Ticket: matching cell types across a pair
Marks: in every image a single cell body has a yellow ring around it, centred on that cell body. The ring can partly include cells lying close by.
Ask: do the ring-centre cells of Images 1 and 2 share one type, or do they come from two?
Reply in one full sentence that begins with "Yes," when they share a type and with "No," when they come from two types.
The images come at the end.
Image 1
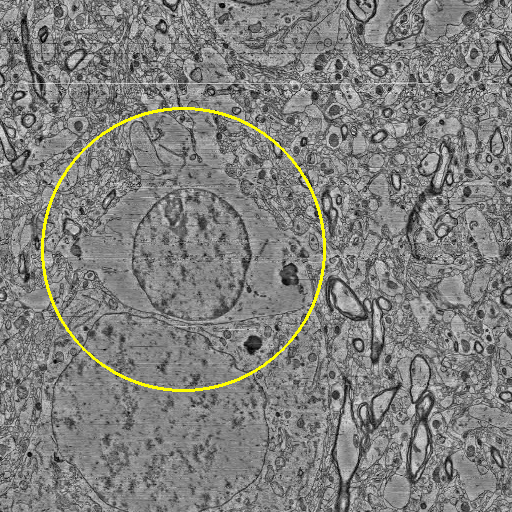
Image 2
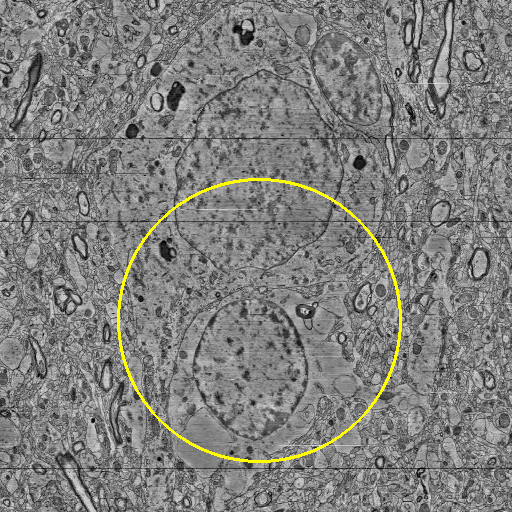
Yes, the cells in the centres of the rings in Image 1 and Image 2 share one type.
